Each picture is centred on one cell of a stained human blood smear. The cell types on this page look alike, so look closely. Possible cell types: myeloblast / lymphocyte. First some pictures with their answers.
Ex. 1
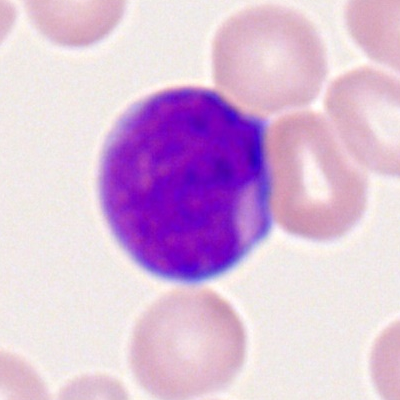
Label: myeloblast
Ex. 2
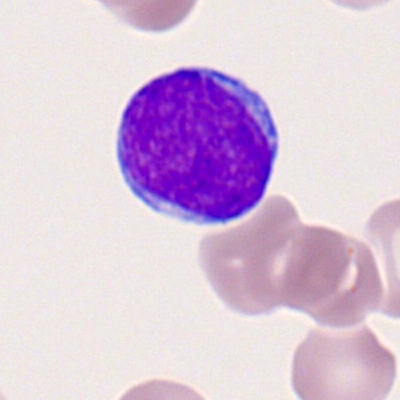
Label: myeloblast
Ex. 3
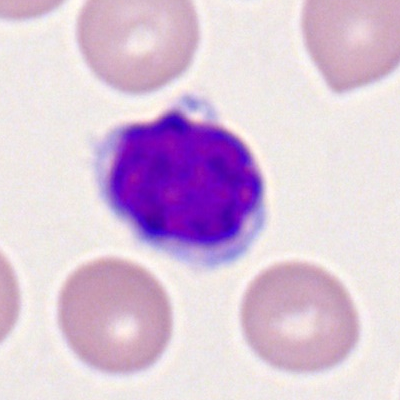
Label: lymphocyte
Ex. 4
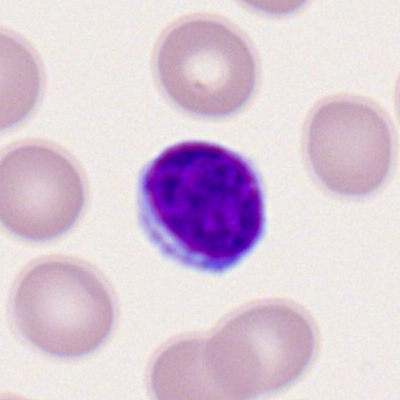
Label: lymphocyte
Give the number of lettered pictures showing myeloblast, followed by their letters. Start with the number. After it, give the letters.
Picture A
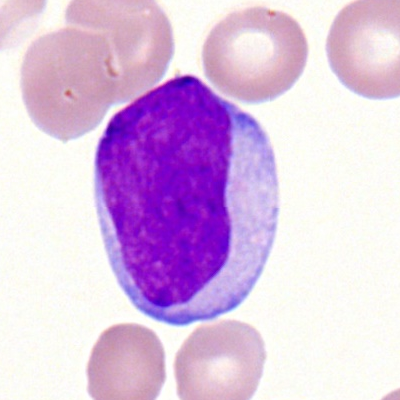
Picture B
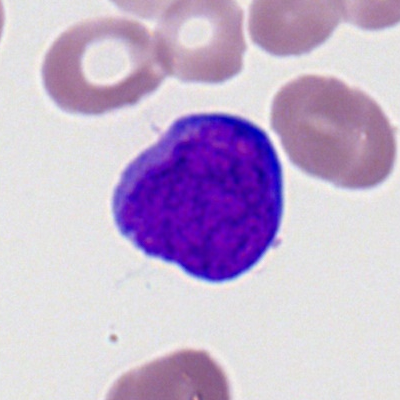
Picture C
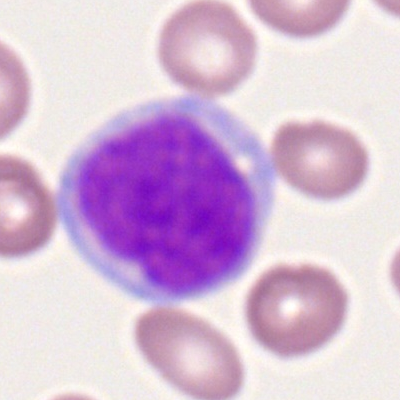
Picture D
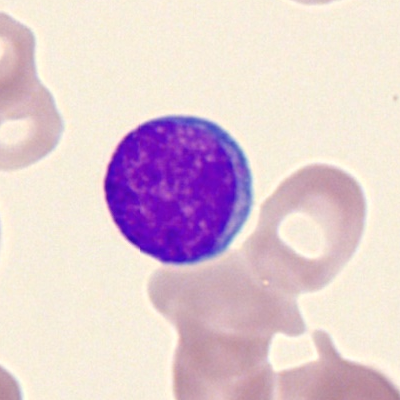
Count: 4 (A, B, C, D)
